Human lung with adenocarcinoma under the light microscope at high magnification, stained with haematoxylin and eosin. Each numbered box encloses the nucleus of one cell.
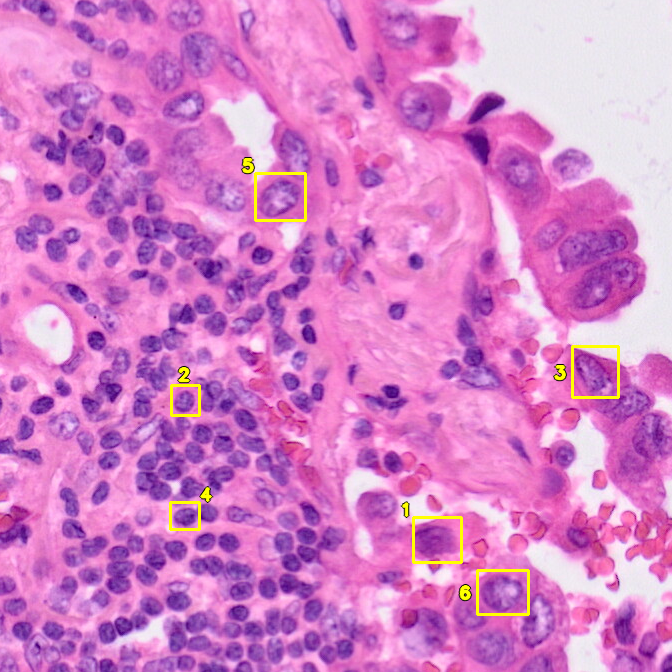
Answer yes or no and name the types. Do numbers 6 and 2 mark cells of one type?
No, cell 6 is a carcinoma cell and cell 2 is a mast cell.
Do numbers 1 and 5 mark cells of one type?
Yes, both are carcinoma cells.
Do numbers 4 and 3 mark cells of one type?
No, cell 4 is a lymphocyte and cell 3 is a carcinoma cell.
